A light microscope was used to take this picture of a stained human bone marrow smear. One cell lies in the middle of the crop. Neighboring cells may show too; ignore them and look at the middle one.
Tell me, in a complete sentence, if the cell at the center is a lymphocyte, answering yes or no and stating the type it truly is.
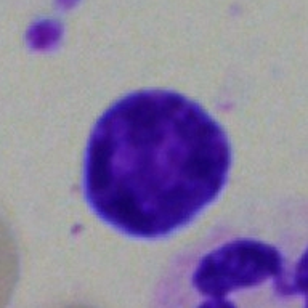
Yes, this crop has a lymphocyte at its centre.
